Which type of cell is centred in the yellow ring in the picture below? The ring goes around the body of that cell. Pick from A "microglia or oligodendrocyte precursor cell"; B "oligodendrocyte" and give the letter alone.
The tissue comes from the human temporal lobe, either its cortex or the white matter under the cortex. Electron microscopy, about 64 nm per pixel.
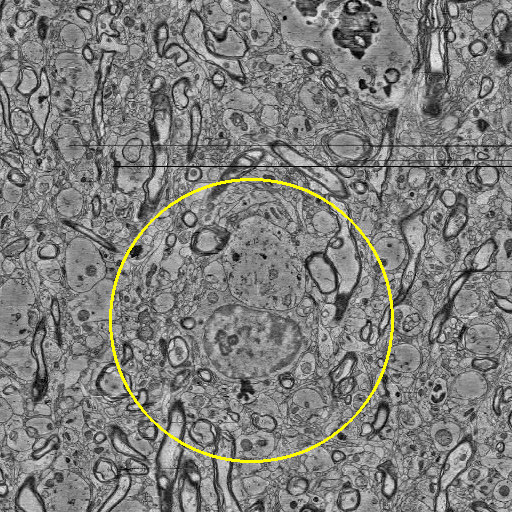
B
